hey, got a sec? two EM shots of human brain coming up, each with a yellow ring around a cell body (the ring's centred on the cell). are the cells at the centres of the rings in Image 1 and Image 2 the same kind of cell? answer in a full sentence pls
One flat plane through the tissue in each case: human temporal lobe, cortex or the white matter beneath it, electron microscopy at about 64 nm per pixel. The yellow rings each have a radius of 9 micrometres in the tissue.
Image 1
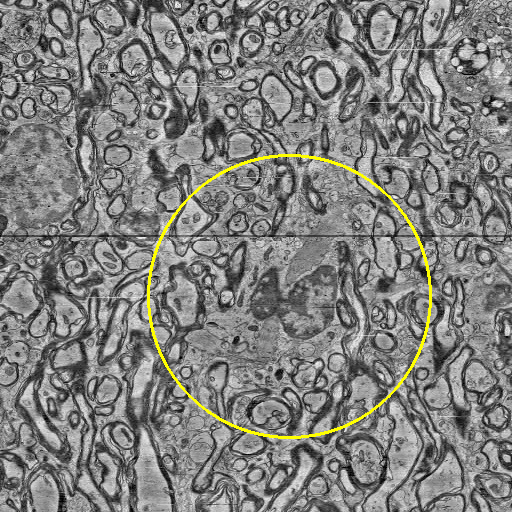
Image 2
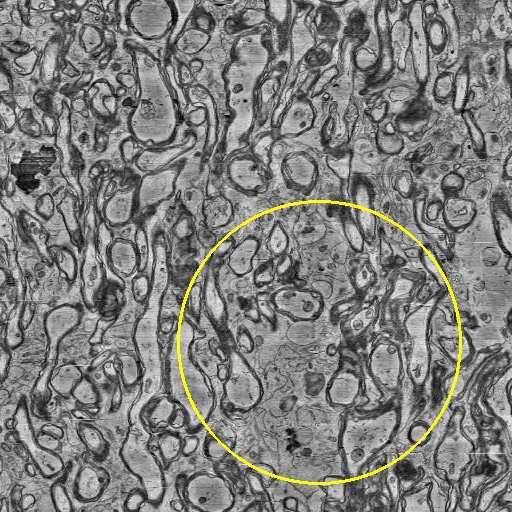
Yes, both are the same kind of cell.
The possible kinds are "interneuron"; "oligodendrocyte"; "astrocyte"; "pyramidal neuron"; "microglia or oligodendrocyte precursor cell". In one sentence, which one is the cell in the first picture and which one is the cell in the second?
Each of the two rings is centred on a microglial cell or oligodendrocyte precursor cell.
